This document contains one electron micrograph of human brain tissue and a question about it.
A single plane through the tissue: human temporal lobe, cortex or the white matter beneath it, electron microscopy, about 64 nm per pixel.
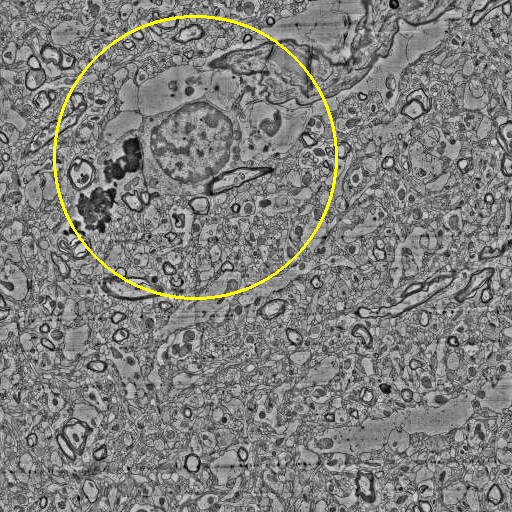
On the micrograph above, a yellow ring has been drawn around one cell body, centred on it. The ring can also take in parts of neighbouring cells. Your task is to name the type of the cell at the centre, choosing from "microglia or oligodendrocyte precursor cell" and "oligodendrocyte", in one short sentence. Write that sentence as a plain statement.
Here the ring is centred on an oligodendrocyte.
